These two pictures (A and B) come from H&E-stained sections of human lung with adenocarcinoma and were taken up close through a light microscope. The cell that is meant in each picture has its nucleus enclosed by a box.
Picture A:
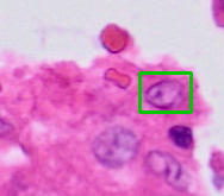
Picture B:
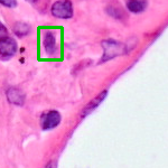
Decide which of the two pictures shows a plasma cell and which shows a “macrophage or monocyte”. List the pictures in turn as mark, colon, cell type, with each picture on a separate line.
A: macrophage or monocyte
B: plasma cell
